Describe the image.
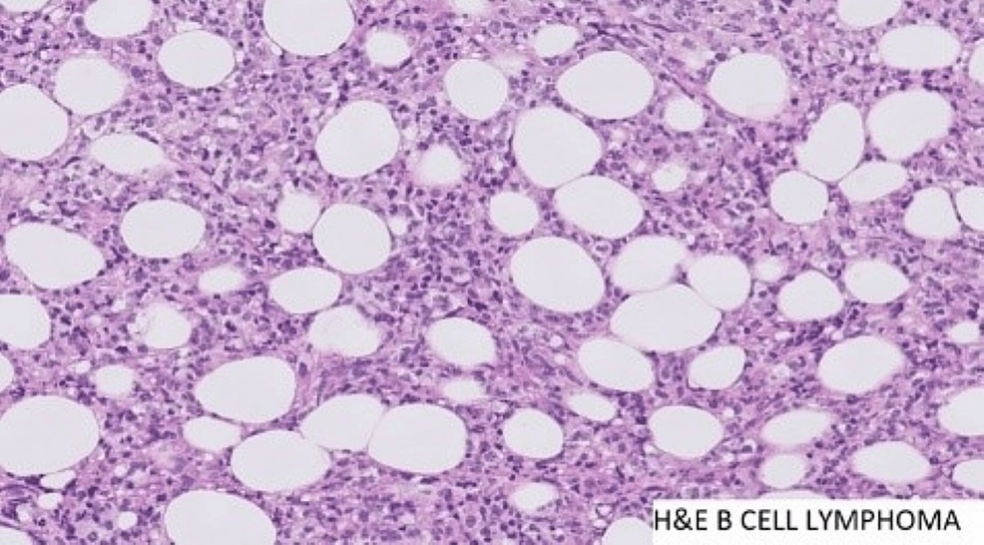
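This section shows fatty soft tissue diffusely infiltrated by tumour cells. Many round to oval, empty, clear spaces of varying size mark the fat cells. Between them lie dense sheets of cells with dark purple, irregular nuclei and scant pink to pale cytoplasm. Scattered smaller dark nuclei are mixed among the larger cells. Only a small amount of pink fibrous stroma separates the cells, and the infiltrate surrounds and separates individual fat cells throughout the field.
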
